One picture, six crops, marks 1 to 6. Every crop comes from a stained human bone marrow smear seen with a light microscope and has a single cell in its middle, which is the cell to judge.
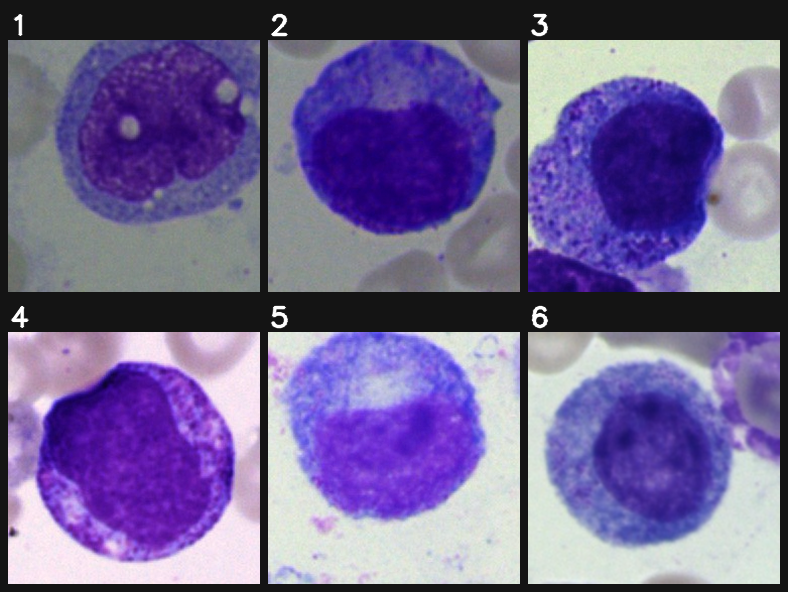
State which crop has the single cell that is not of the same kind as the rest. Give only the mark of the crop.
1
